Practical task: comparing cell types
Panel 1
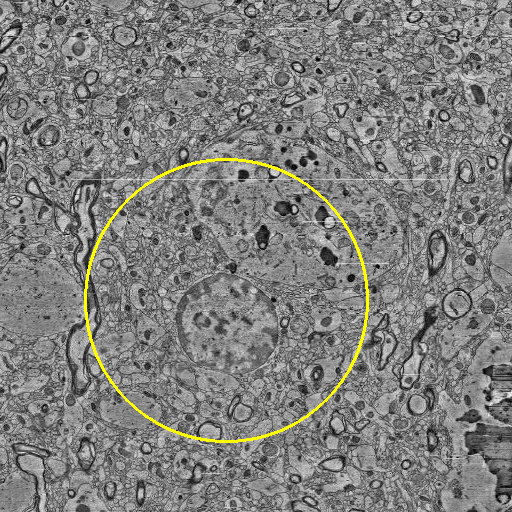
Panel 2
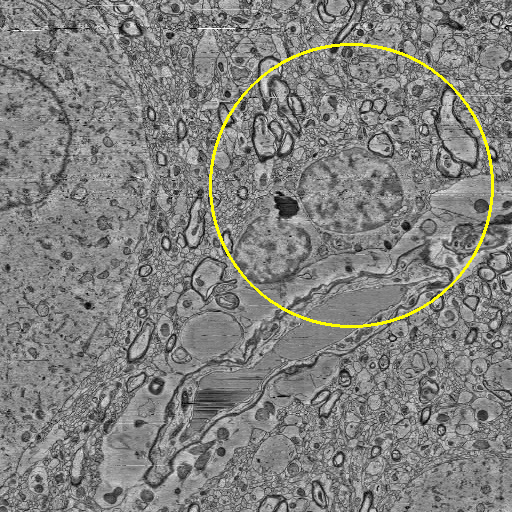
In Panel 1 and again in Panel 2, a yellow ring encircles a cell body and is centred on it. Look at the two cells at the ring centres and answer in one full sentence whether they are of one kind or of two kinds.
The two cells sitting at the ring centres of Panels 1 and 2 are of two kinds.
